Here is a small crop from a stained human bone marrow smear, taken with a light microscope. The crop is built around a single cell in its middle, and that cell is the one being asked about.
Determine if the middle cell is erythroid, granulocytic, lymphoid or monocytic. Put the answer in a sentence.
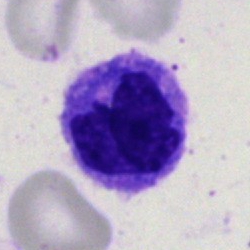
The cell occupying the middle of the crop is classified within the monocytic lineage.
